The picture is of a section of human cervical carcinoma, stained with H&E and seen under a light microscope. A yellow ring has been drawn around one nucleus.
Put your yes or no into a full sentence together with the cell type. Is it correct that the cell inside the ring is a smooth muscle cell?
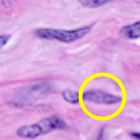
Yes, a smooth muscle cell is the correct identification for the cell inside the ring.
